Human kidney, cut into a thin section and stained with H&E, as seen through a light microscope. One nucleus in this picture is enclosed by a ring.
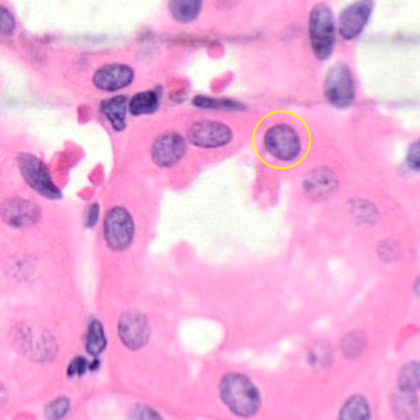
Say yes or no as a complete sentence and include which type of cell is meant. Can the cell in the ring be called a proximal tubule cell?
Yes, the cell in the ring is a proximal tubule cell in this section.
